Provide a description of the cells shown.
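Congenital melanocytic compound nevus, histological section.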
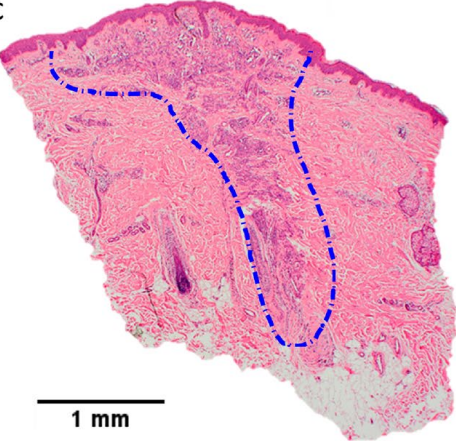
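A vertical section of skin shows a thin, dark pink to purple epidermis along the upper surface. Below it lies a pale pink dermis of loose, wavy collagen bundles. A more cellular, purple-staining zone occupies the upper dermis directly beneath the epidermis. It narrows into a thin band that runs obliquely downward deep into the dermis, following a hair follicle. A dash-dot line outlines this zone. Other hair follicles and small glandular structures are scattered through the surrounding dermis. The deepest part of the section is paler and less fibrous.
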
